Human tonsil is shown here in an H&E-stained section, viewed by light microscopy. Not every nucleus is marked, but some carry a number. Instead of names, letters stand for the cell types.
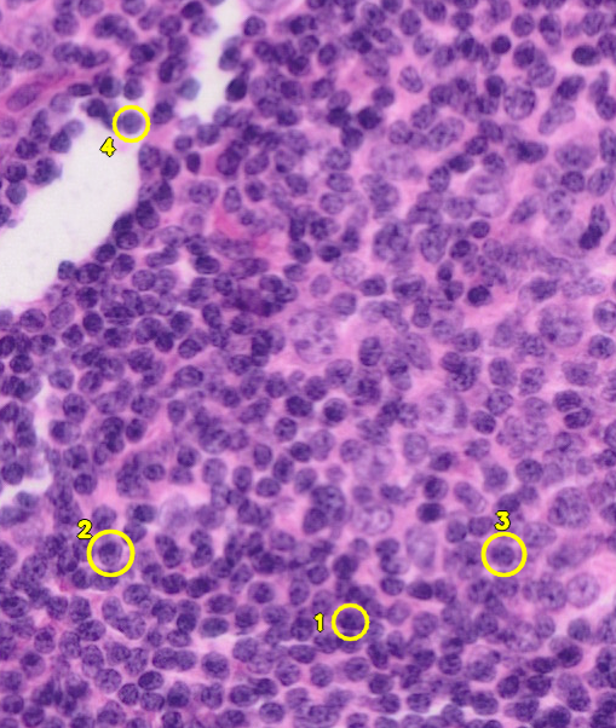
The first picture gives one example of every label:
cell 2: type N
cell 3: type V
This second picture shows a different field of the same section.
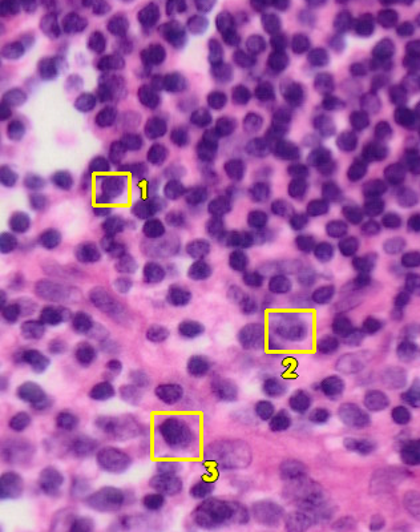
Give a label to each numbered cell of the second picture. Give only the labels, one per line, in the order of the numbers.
type N
type V
type V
